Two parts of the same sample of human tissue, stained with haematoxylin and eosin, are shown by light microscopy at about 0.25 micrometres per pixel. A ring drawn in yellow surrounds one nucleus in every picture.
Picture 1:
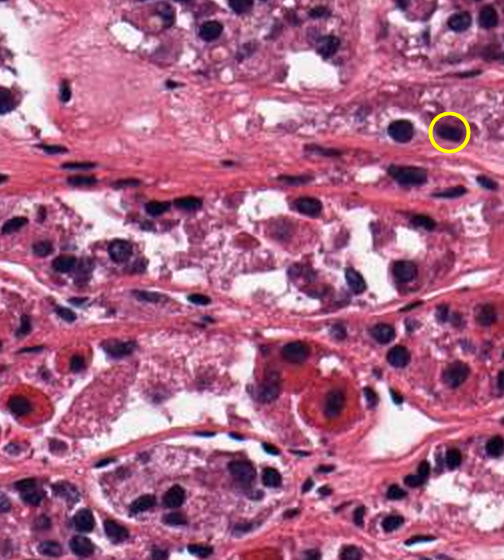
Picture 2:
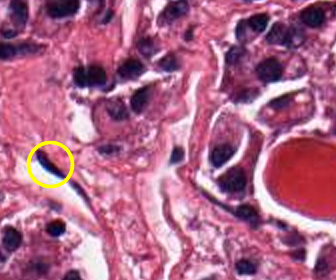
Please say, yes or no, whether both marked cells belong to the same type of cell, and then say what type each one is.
No, the first is an anterior pituitary cell and the second an endothelial cell.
